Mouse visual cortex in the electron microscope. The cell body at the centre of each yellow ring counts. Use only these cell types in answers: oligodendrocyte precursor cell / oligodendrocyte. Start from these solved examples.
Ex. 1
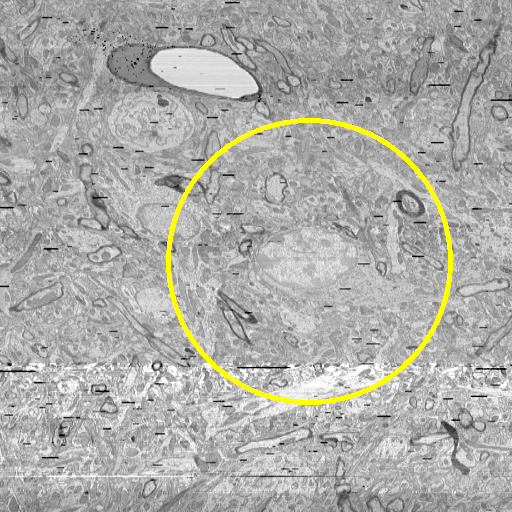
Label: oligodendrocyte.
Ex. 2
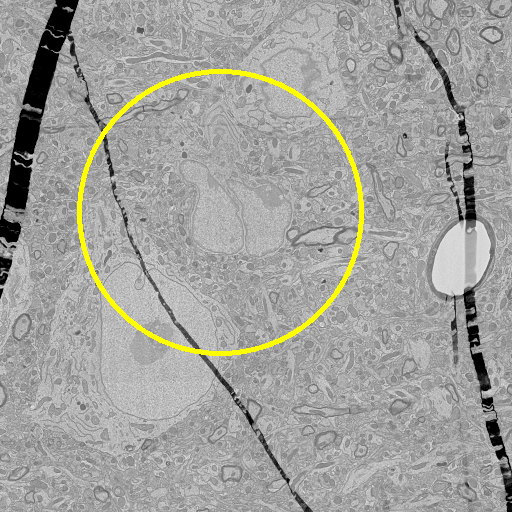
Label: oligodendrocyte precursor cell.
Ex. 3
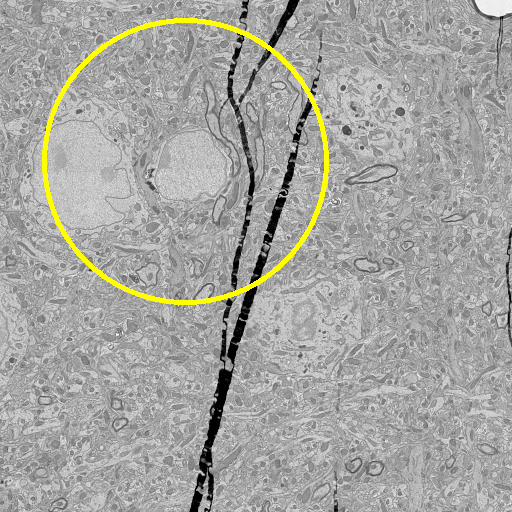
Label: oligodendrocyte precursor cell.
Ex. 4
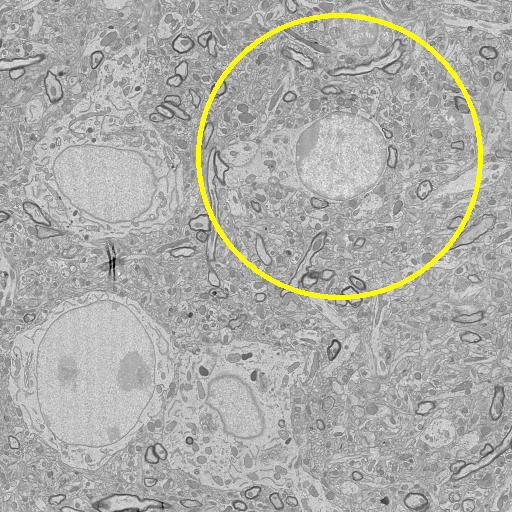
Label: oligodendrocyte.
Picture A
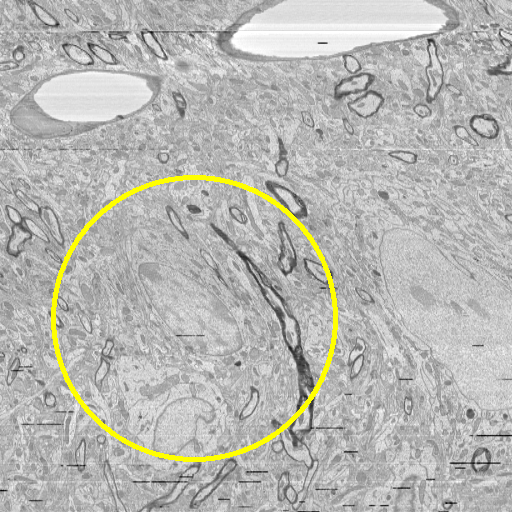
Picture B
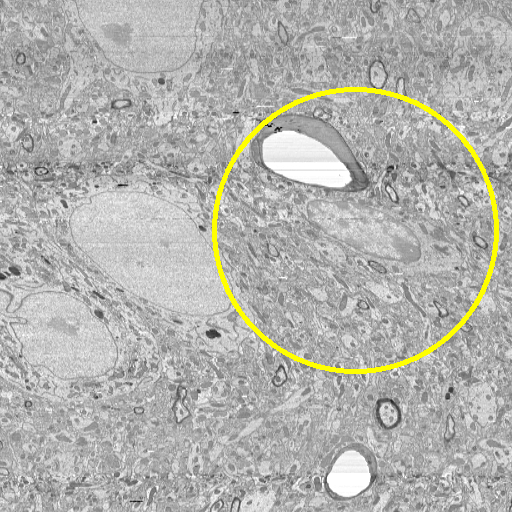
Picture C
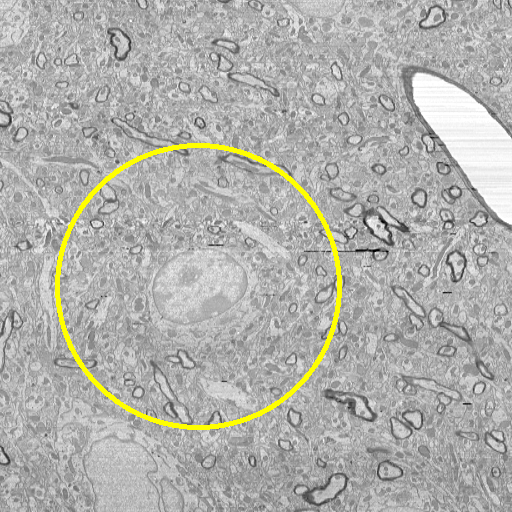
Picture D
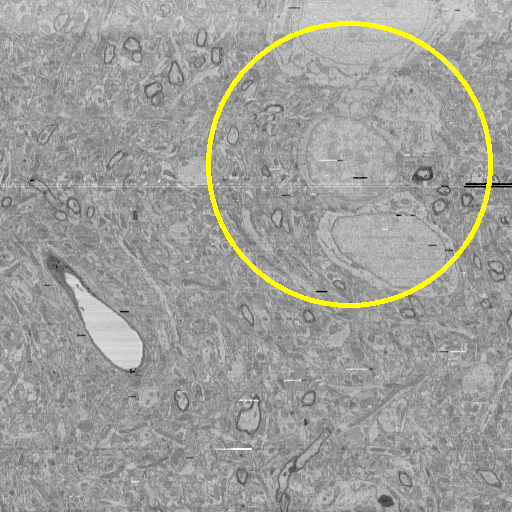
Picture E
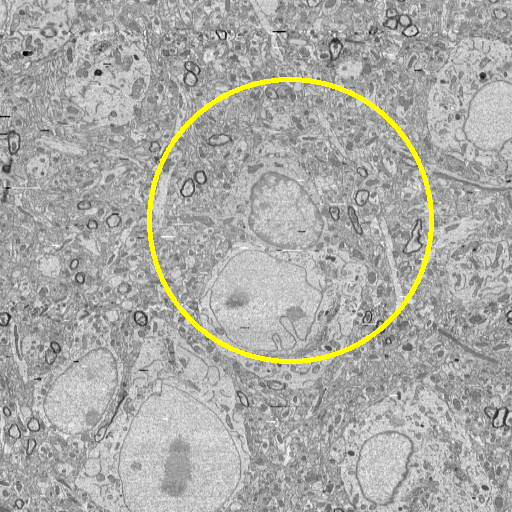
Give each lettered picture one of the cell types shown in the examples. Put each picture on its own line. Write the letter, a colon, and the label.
A: oligodendrocyte.
B: oligodendrocyte.
C: oligodendrocyte.
D: oligodendrocyte.
E: oligodendrocyte.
